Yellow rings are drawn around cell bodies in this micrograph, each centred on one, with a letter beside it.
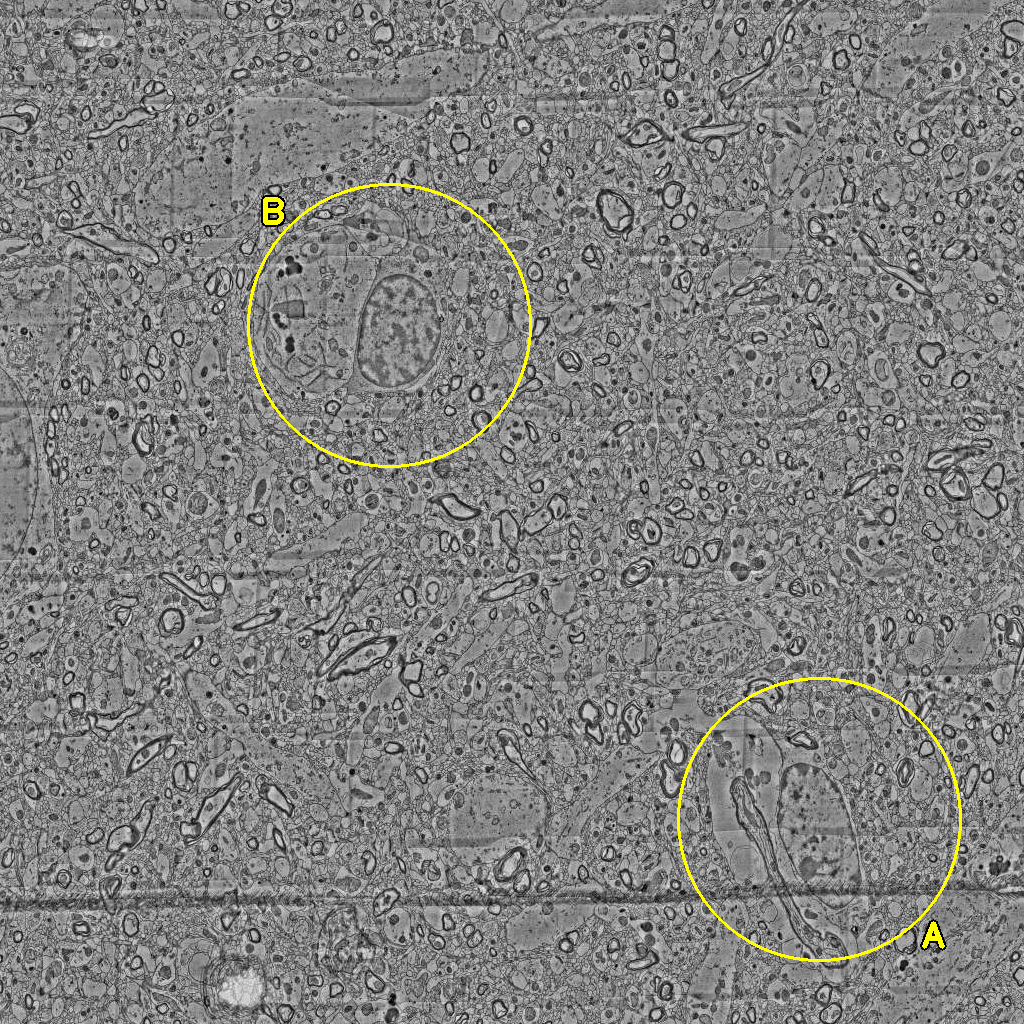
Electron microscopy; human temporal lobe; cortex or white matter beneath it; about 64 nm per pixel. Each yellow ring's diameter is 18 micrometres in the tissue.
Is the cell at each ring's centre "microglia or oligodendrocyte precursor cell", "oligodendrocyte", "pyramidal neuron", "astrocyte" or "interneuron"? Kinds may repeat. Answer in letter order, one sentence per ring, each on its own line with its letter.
In ring A, the cell at the centre is a microglial cell or oligodendrocyte precursor cell.
In ring B, the cell at the centre is an oligodendrocyte.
